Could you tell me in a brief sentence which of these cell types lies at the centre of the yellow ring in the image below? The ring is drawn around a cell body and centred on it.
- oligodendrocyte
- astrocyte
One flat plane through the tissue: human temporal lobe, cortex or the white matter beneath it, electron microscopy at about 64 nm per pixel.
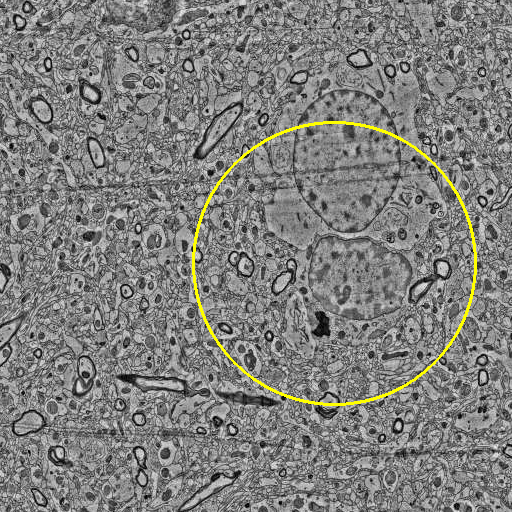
The cell centred in the ring is an oligodendrocyte.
